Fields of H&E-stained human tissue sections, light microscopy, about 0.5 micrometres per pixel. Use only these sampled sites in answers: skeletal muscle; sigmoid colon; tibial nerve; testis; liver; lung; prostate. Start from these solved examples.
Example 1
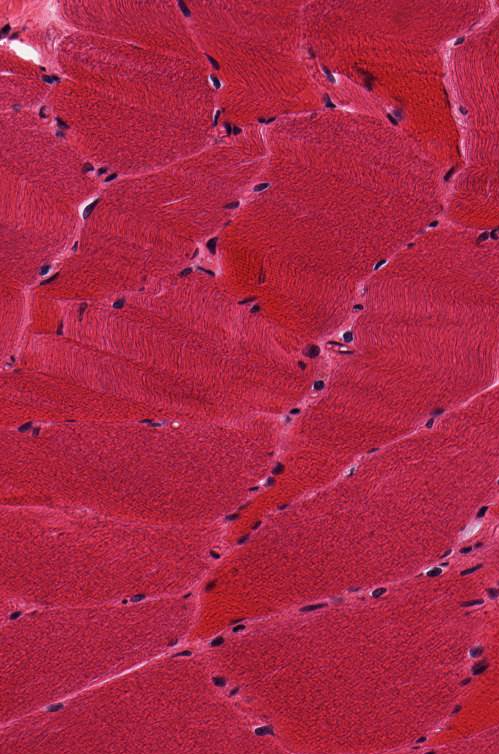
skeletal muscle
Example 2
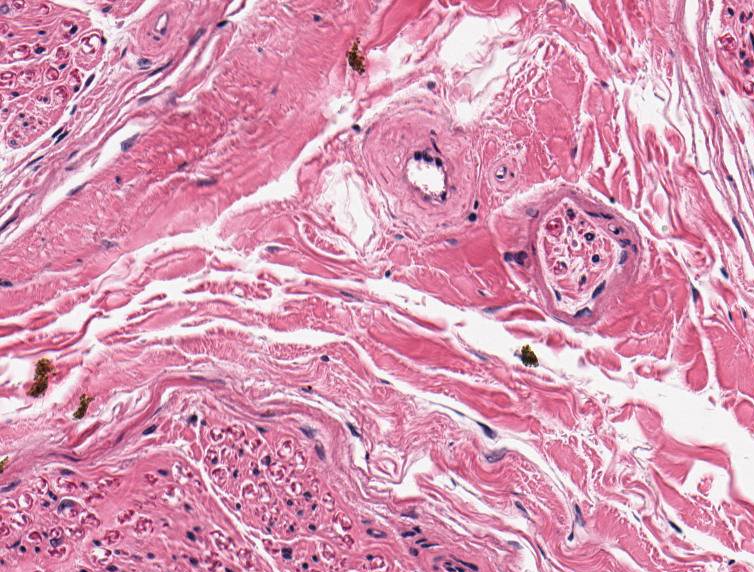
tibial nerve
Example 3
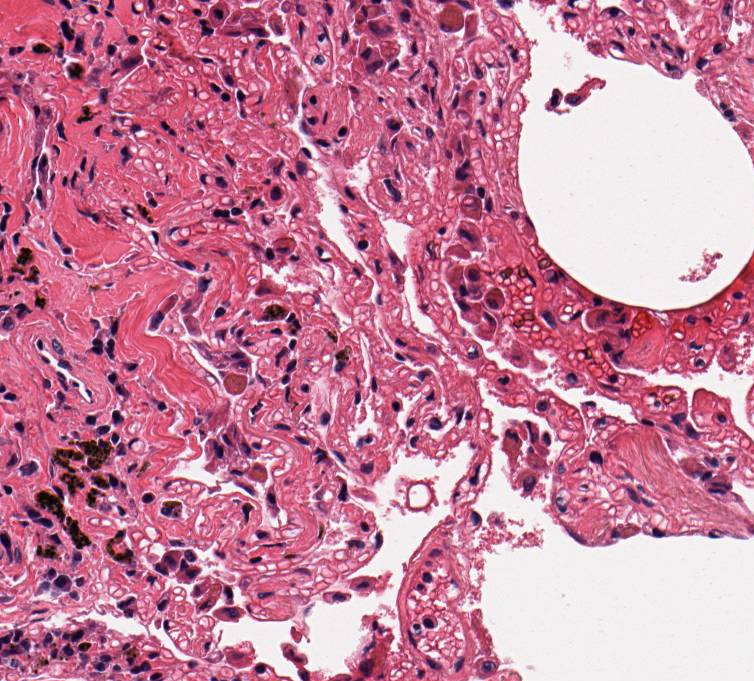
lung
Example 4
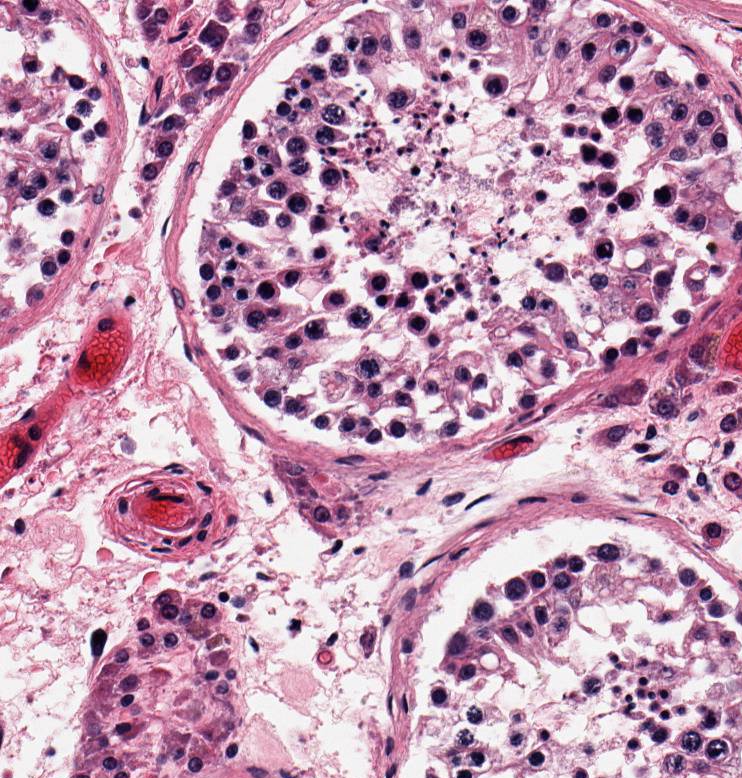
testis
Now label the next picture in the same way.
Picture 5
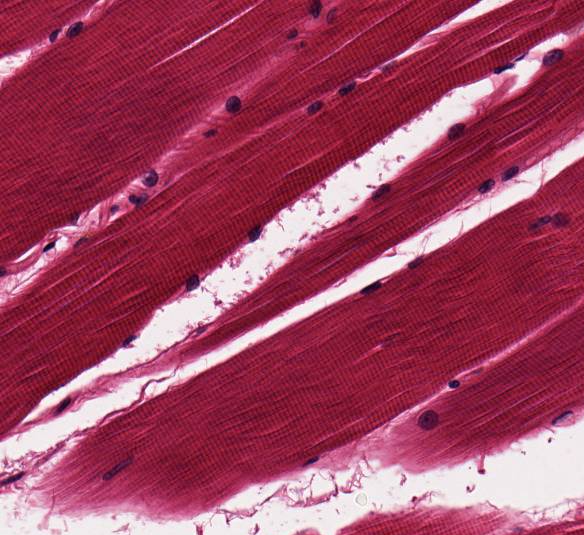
skeletal muscle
